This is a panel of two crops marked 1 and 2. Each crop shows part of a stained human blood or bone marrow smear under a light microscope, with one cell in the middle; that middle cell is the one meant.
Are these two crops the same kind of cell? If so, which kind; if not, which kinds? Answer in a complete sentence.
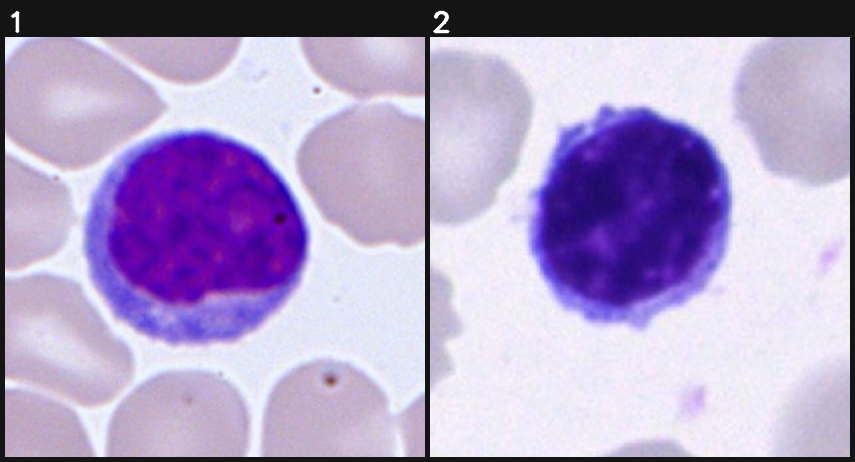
Yes, the two cells in the two crops are lymphocytes.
